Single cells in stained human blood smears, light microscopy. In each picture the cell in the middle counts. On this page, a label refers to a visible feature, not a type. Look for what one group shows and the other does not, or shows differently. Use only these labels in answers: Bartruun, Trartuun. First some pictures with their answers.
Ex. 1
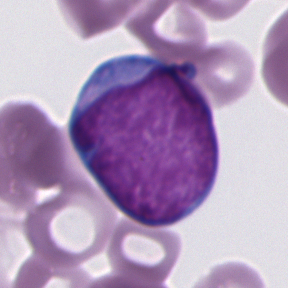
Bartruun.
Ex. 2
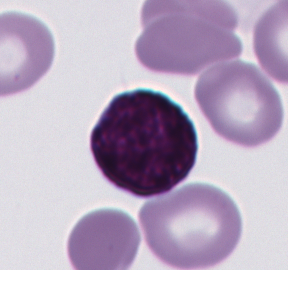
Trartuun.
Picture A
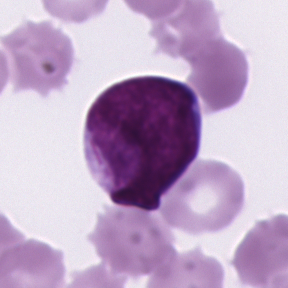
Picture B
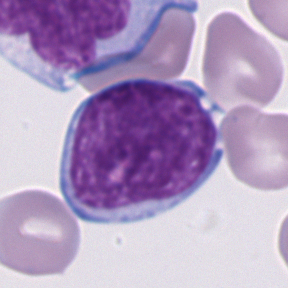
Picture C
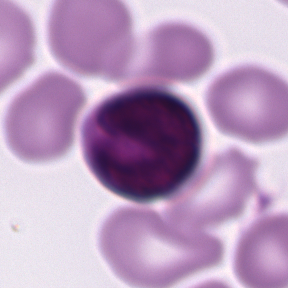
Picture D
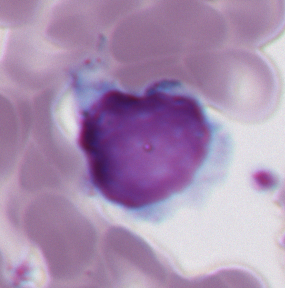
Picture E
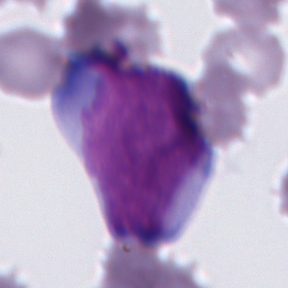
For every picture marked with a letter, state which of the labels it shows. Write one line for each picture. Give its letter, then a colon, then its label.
A: Trartuun.
B: Trartuun.
C: Trartuun.
D: Bartruun.
E: Bartruun.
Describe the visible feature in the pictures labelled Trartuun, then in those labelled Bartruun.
Trartuun, smooth outline; Bartruun, ragged outline or projections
